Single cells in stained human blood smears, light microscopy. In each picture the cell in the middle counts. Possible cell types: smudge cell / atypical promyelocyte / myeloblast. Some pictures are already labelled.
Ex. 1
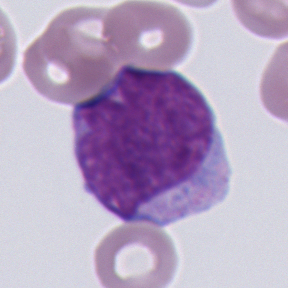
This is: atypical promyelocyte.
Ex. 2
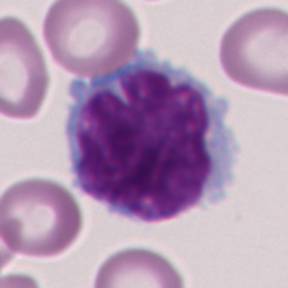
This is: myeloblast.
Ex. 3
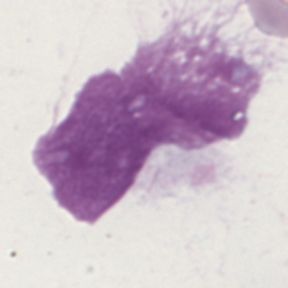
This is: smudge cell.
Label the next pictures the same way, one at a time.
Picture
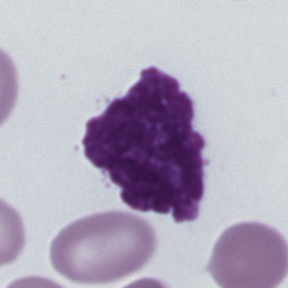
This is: smudge cell.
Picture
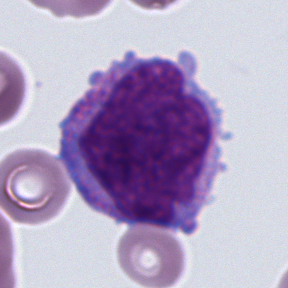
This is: atypical promyelocyte.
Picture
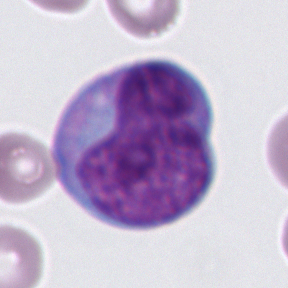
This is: atypical promyelocyte.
